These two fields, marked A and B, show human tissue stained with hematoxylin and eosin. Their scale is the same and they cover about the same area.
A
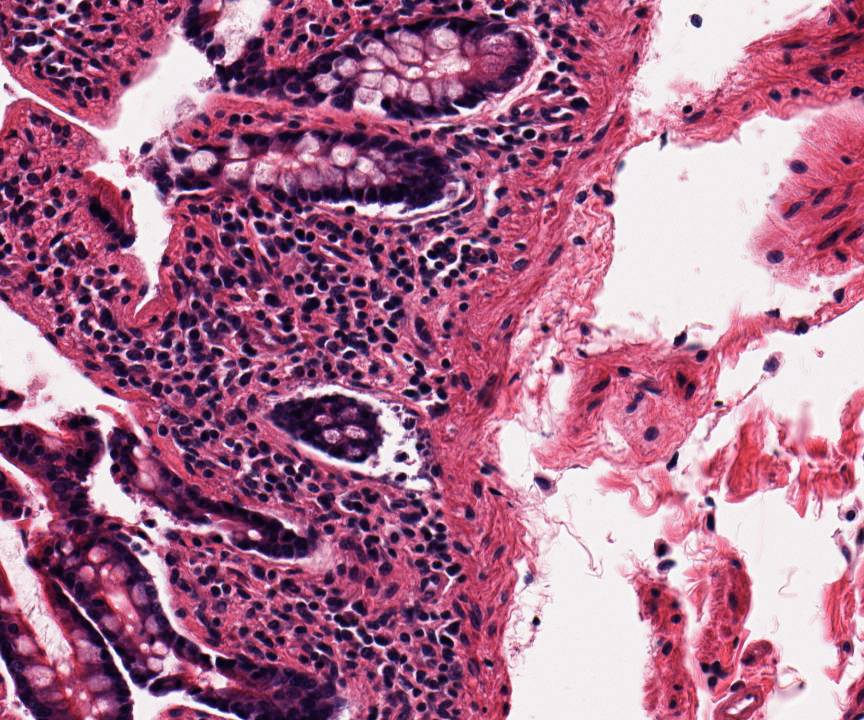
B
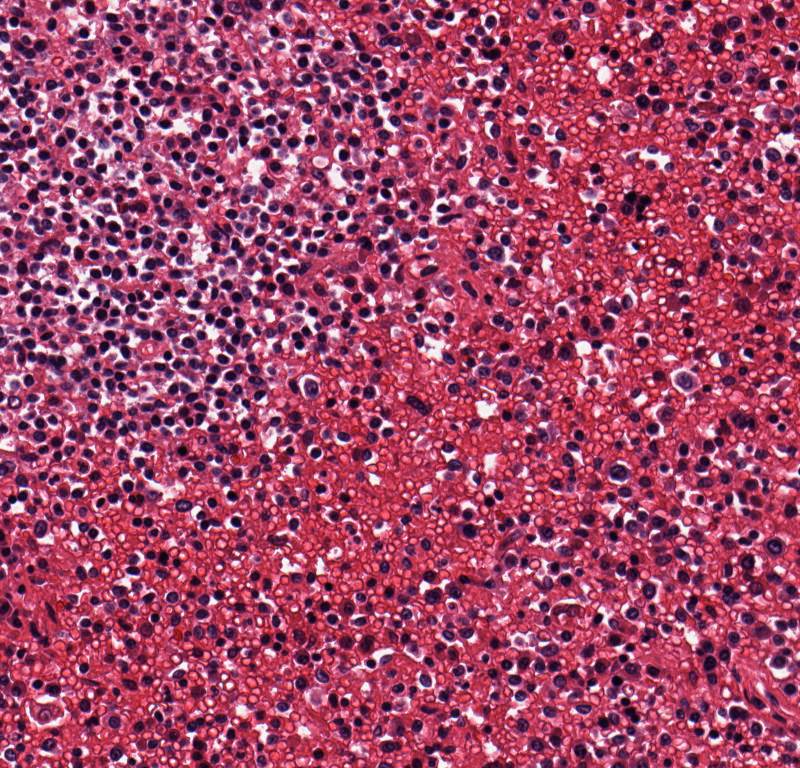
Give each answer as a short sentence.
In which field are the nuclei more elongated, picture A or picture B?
The nuclei are more elongated in picture A.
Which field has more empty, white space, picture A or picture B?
Picture A has more white space.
